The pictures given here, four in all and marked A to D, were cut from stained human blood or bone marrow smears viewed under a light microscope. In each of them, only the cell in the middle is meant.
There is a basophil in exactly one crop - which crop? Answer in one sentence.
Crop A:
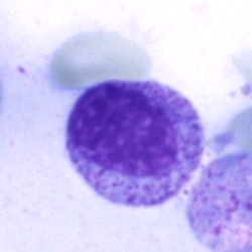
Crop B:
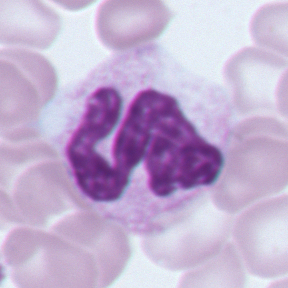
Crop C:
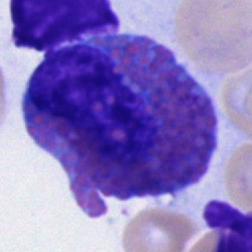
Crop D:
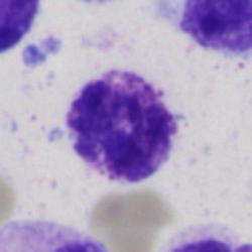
Crop D, and no other, shows a basophil.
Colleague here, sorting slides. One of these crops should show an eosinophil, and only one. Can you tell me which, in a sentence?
That would be crop C; it shows an eosinophil.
